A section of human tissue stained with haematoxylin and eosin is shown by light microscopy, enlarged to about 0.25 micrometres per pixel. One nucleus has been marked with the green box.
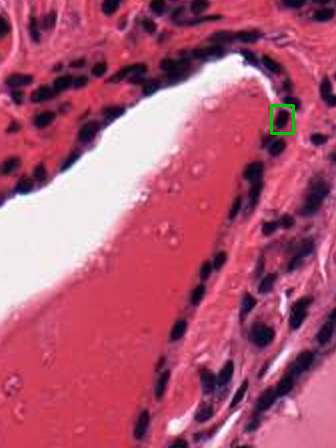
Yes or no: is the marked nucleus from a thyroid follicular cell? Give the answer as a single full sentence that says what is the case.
Yes, the marked nucleus is that of a thyroid follicular cell.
